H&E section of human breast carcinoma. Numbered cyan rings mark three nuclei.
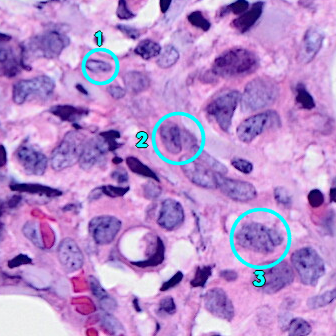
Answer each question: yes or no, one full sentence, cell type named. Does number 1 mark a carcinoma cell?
No, cell 1 is identified not as a carcinoma cell but as an endothelial cell.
